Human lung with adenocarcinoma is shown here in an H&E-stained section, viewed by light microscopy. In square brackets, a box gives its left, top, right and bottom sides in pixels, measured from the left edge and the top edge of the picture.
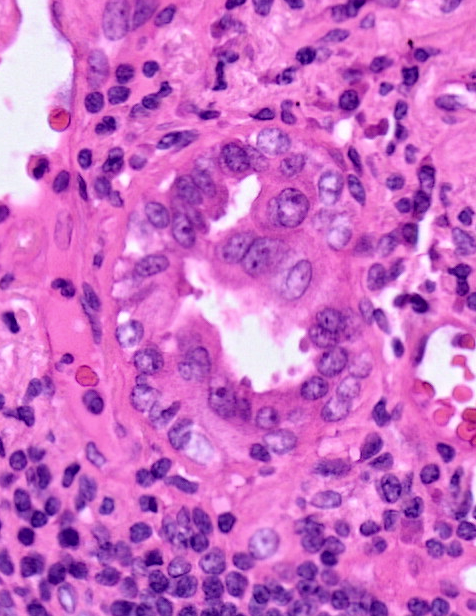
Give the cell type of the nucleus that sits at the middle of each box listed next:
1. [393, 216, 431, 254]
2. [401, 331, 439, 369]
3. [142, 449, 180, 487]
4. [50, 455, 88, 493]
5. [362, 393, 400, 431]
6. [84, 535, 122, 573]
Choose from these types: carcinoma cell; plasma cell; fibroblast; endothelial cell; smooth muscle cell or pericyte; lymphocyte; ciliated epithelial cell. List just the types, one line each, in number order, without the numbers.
plasma cell
endothelial cell
lymphocyte
lymphocyte
lymphocyte
lymphocyte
